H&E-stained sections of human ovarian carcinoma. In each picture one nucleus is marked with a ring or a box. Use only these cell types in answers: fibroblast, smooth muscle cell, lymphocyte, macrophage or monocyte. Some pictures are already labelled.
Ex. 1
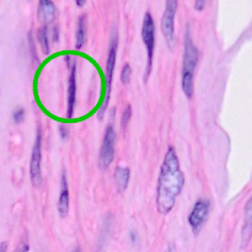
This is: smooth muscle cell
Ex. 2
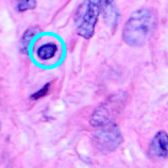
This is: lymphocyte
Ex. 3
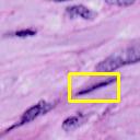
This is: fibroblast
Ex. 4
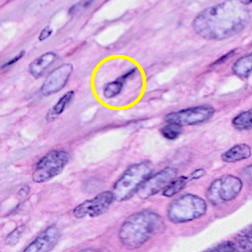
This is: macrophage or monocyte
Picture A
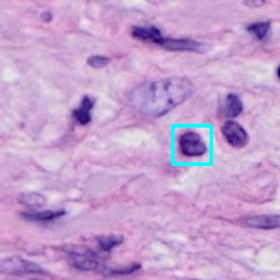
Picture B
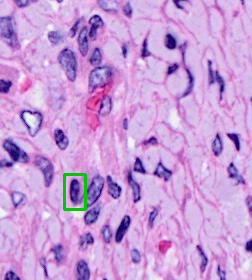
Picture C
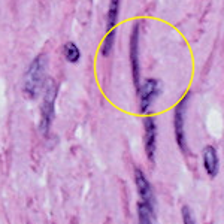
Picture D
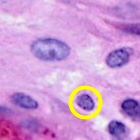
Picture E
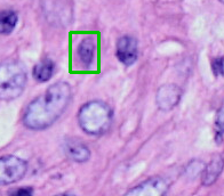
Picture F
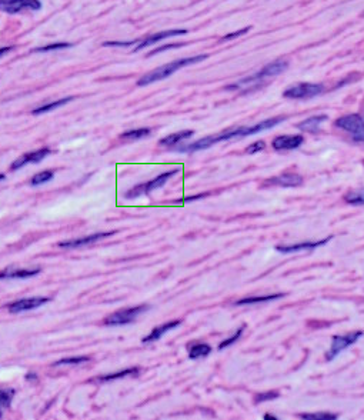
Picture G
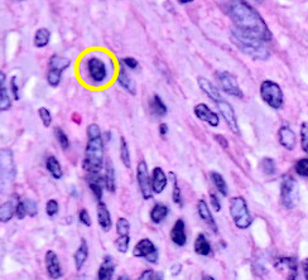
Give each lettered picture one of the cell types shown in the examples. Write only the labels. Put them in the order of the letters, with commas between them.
lymphocyte, lymphocyte, fibroblast, lymphocyte, macrophage or monocyte, fibroblast, lymphocyte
